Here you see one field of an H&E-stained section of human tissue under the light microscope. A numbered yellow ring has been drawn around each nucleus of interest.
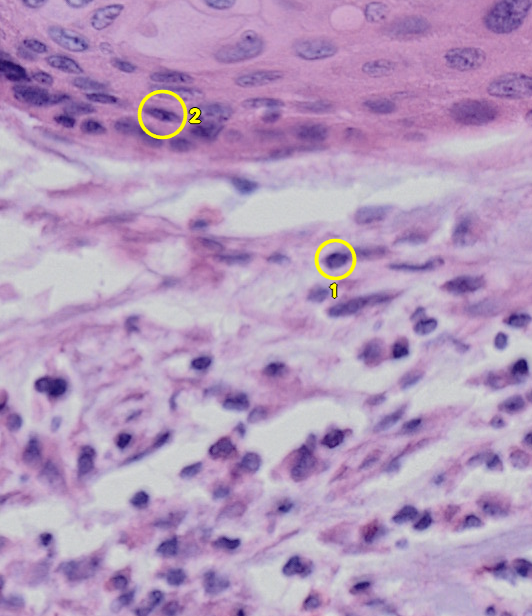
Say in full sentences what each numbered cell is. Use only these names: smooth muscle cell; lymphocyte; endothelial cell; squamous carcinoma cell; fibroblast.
Cell 1 is a lymphocyte. Cell 2 is a squamous carcinoma cell.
